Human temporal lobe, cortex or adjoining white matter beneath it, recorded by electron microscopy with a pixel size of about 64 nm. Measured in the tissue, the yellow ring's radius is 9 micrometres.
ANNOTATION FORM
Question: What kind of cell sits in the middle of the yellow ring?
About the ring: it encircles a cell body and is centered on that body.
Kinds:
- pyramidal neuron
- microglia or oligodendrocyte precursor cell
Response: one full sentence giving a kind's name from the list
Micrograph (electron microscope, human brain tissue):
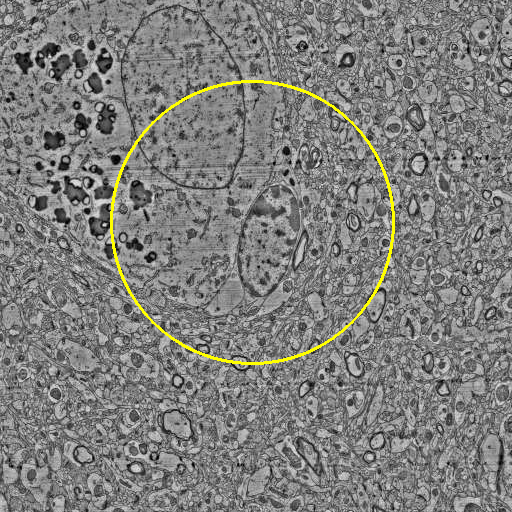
The kind of cell found at the center of the yellow ring in the micrograph is a microglial cell or oligodendrocyte precursor cell.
